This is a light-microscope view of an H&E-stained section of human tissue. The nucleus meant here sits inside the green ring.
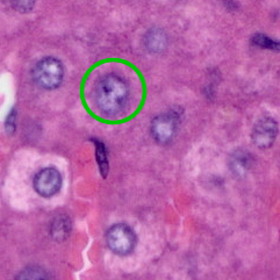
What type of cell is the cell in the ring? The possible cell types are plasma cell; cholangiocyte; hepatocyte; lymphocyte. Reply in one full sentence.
Histopathologically, the cell in the ring is a hepatocyte.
